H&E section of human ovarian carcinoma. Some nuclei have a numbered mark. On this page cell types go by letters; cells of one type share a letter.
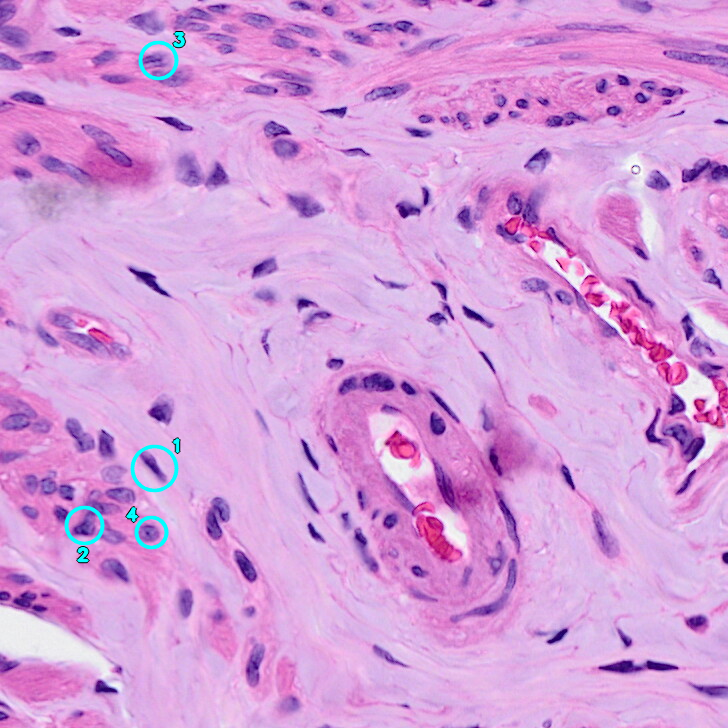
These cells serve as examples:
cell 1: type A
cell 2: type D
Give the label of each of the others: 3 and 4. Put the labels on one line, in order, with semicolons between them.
type D; type D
